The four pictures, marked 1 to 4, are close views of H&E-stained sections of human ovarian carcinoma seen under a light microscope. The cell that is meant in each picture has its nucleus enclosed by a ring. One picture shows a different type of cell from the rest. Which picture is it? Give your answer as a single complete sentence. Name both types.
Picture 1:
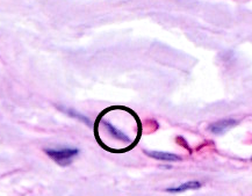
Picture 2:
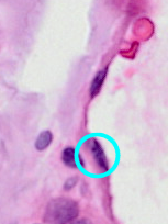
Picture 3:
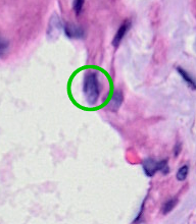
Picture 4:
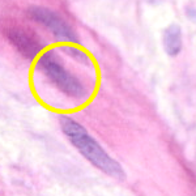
All pictures except 4 show endothelial cells; picture 4 shows a smooth muscle cell.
